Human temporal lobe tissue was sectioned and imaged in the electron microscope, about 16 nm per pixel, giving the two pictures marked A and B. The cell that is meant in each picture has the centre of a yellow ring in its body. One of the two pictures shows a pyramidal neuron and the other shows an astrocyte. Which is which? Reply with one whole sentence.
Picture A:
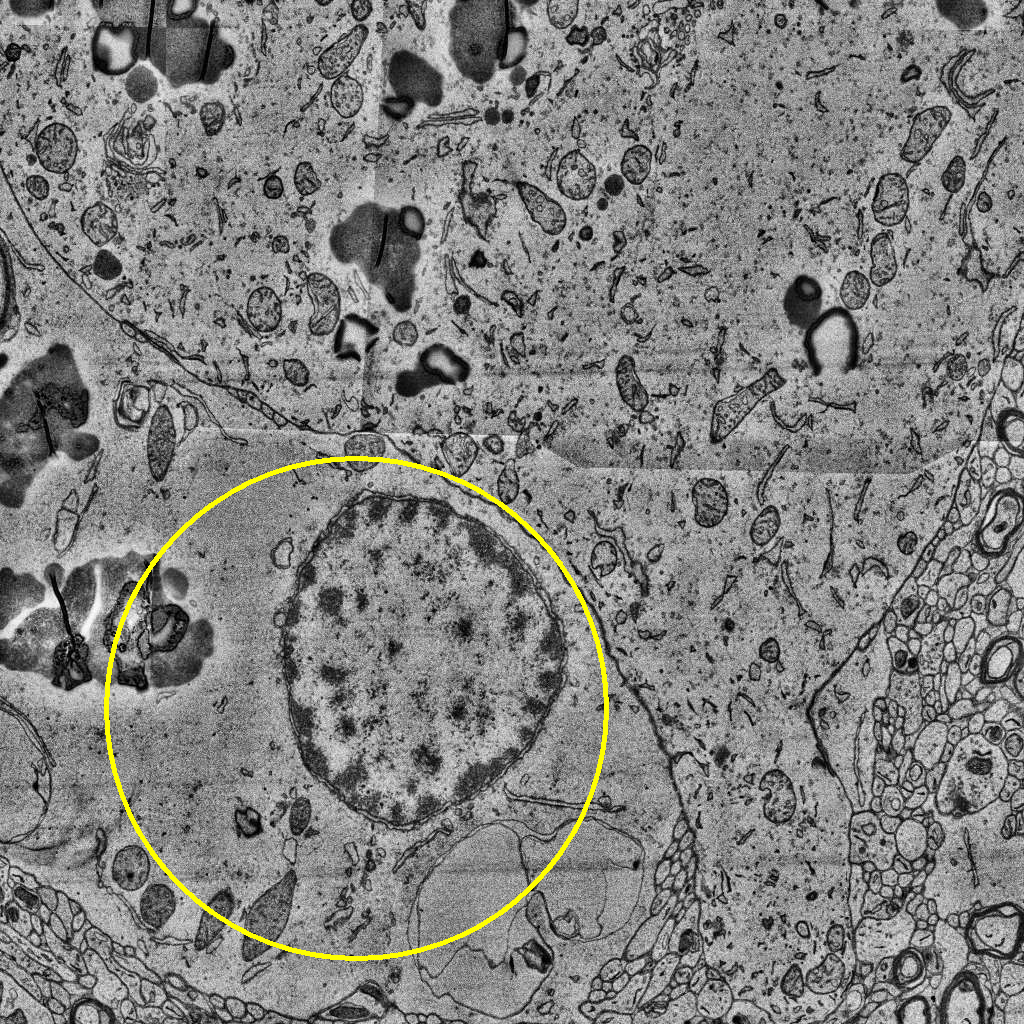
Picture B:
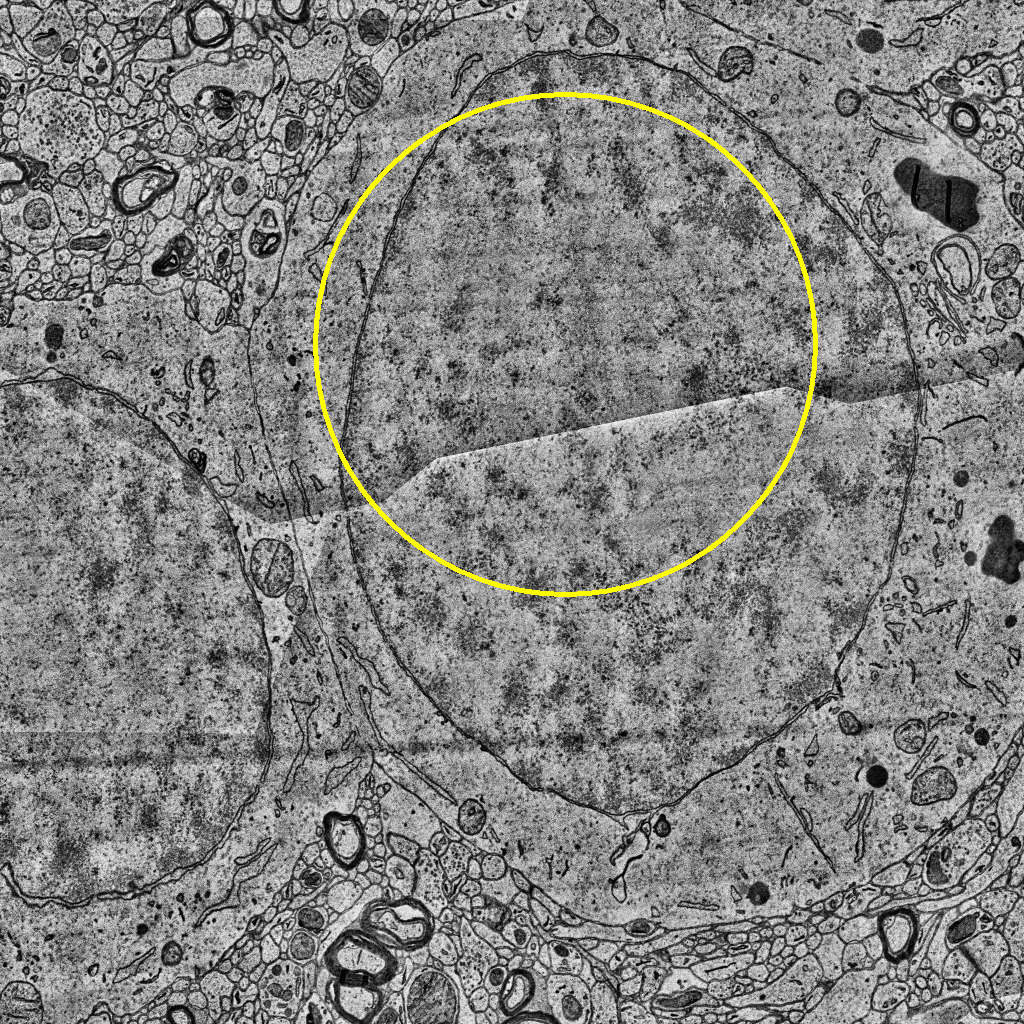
Picture B shows a pyramidal neuron, while picture A shows an astrocyte.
